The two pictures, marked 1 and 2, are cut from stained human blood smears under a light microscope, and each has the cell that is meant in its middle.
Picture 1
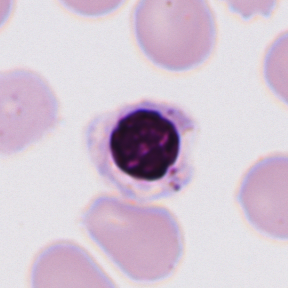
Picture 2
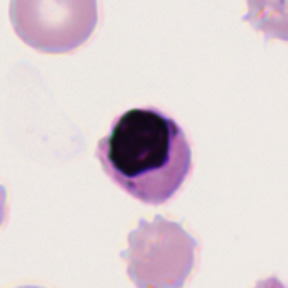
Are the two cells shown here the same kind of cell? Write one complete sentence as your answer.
Yes; the cells in both pictures are normoblasts.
